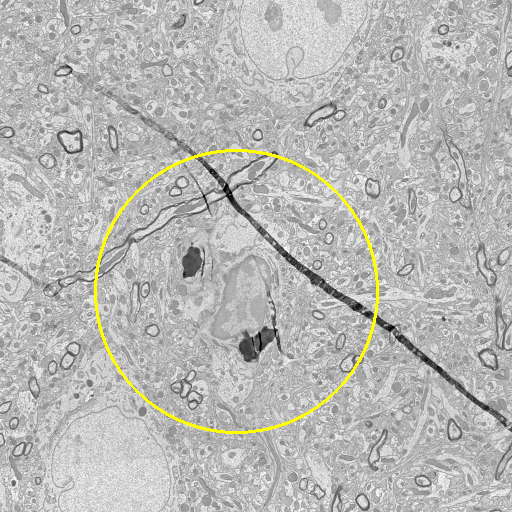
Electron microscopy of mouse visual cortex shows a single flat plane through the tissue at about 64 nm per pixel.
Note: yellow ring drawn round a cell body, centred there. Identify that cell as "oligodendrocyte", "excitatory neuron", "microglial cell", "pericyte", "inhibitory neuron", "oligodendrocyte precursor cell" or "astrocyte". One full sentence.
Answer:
The cell in the middle of the ring is a microglial cell.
